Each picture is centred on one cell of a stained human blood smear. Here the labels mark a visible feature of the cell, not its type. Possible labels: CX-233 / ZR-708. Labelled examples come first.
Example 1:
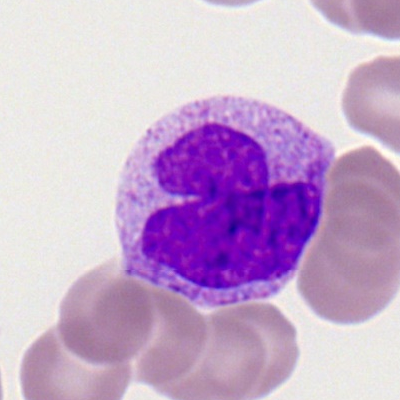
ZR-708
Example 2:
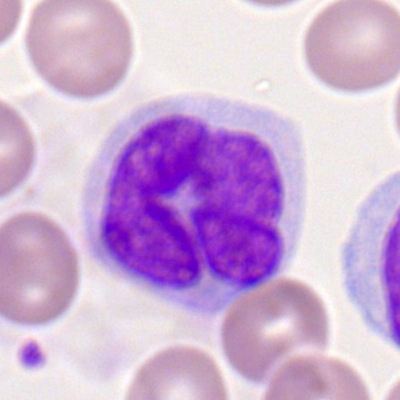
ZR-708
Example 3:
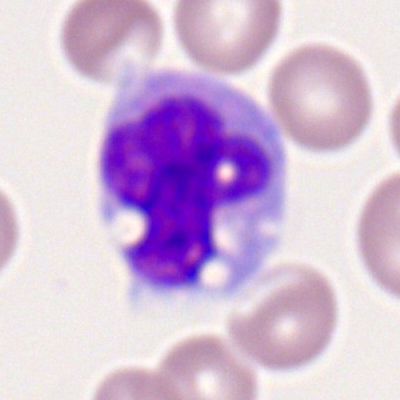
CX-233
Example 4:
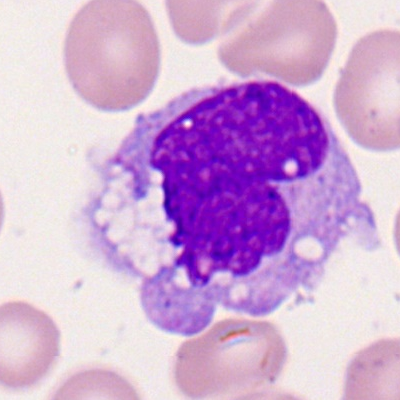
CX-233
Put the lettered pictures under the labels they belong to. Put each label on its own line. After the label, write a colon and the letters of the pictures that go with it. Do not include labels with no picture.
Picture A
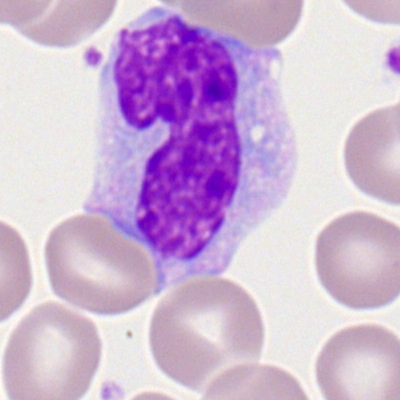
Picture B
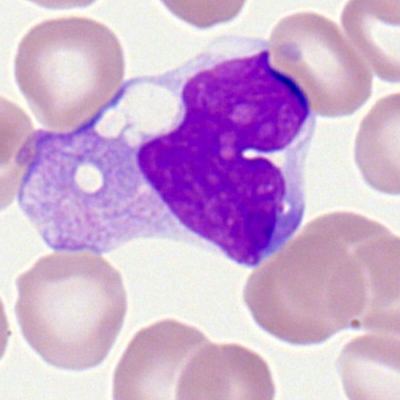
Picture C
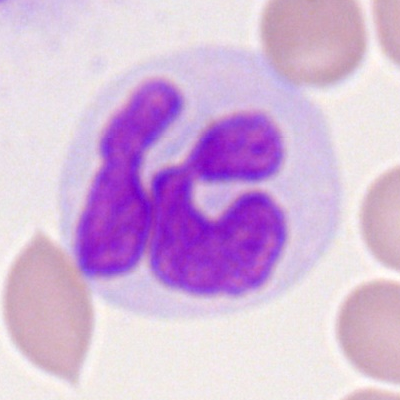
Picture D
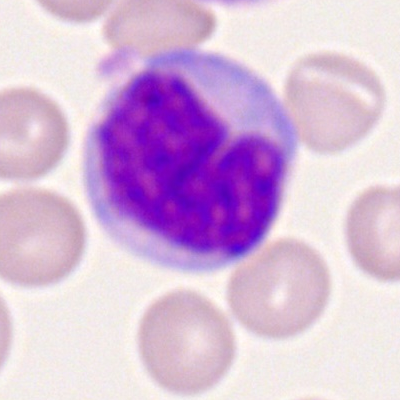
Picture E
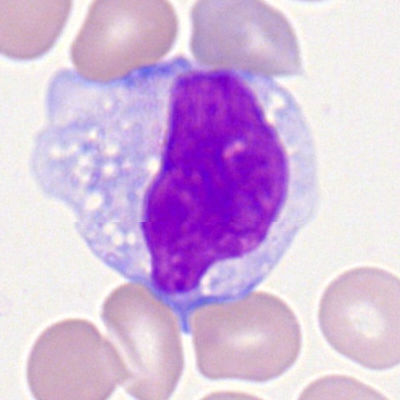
CX-233: A, B, E
ZR-708: C, D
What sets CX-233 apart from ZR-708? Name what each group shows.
CX-233, vacuoles present; ZR-708, no vacuoles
